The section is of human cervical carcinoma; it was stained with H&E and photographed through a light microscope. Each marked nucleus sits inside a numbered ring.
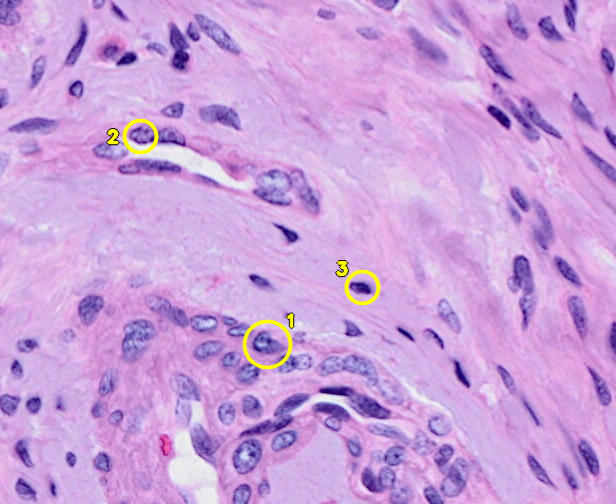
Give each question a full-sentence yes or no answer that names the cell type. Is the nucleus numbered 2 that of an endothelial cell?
Yes, looking at number 2, that cell is an endothelial cell.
